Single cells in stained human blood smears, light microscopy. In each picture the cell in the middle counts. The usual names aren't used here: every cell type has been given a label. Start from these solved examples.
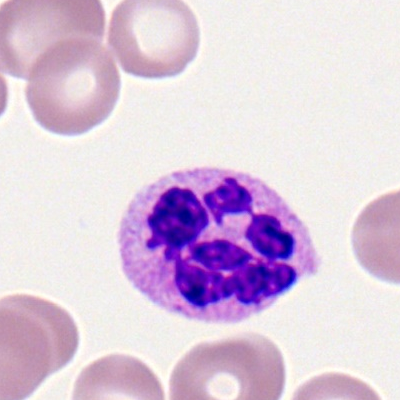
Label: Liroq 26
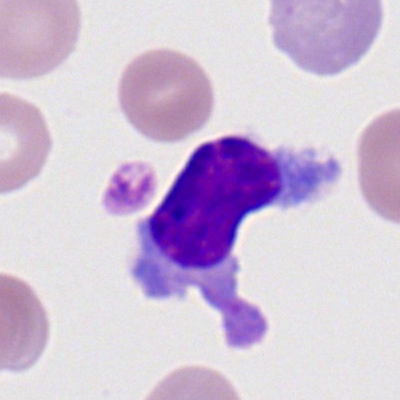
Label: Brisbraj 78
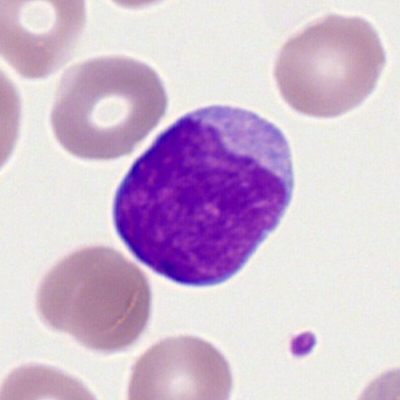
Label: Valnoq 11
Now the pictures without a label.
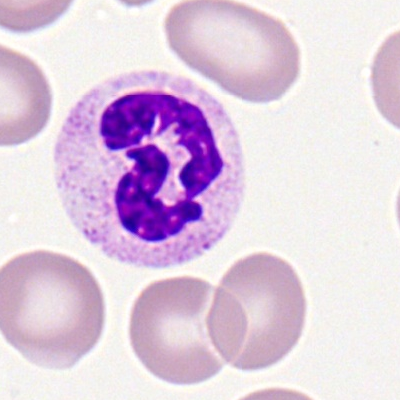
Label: Liroq 26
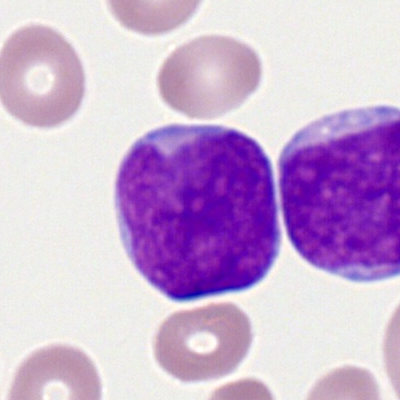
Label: Valnoq 11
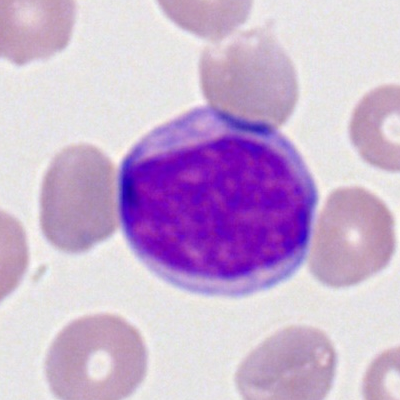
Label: Valnoq 11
